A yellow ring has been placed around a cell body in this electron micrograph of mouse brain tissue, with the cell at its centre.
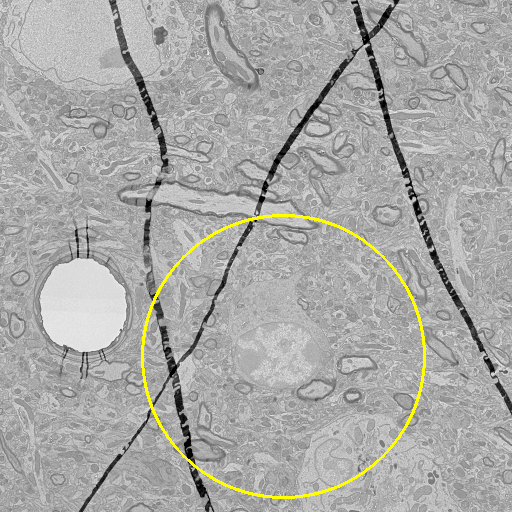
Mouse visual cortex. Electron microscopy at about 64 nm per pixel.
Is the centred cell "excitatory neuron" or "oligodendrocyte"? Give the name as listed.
oligodendrocyte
